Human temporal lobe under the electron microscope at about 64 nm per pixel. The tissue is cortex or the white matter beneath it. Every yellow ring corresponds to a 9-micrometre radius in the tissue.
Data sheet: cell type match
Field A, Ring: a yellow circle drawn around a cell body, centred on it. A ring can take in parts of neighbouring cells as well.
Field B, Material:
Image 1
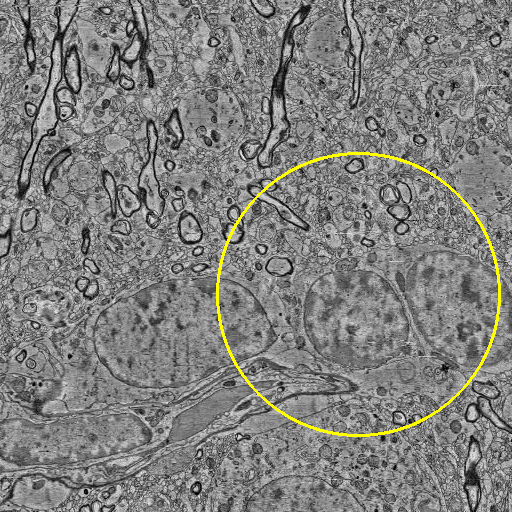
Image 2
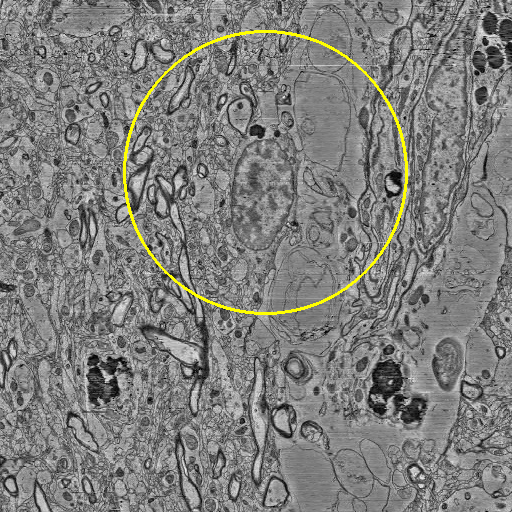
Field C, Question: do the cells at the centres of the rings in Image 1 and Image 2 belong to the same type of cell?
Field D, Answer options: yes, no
yes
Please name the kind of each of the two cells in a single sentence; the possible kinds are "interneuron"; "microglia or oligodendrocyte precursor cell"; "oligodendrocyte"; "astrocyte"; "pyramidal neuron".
The first and the second cell are each an oligodendrocyte.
